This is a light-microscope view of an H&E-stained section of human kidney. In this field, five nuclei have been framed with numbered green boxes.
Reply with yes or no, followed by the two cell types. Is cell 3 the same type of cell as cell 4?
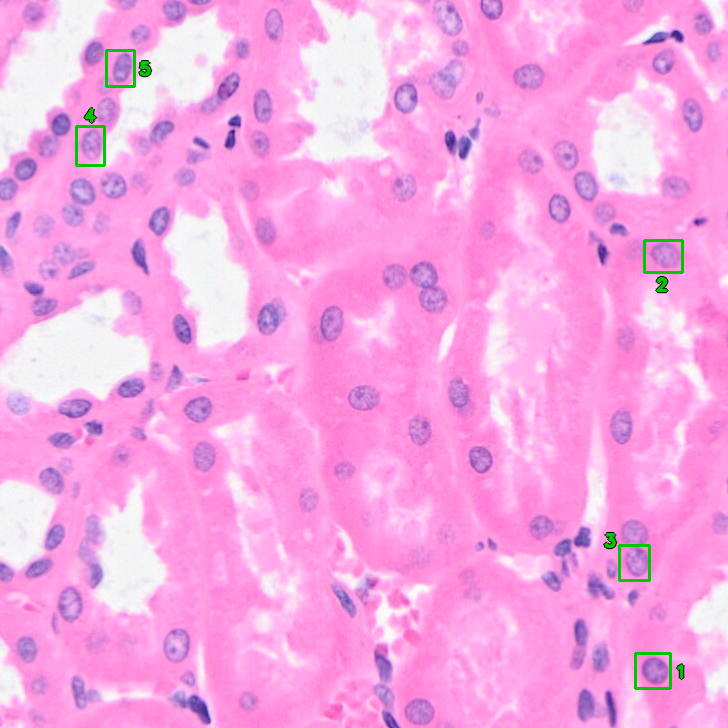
No, cell 3 is a proximal tubule cell, and cell 4 is, by contrast, a loop of Henle or distal tubule cell.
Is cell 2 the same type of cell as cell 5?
No, cell 2 is a proximal tubule cell, while cell 5 is a loop of Henle or distal tubule cell.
